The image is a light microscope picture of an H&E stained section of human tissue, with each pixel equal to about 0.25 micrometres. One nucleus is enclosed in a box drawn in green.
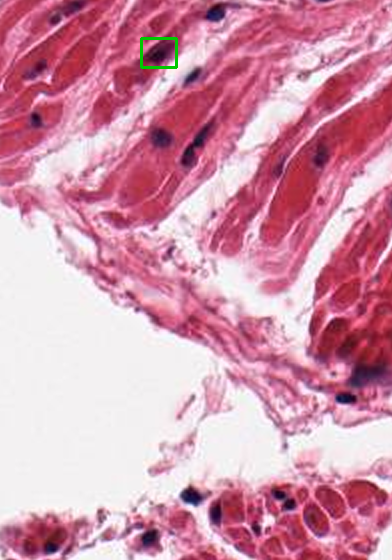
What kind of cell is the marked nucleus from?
smooth muscle cell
